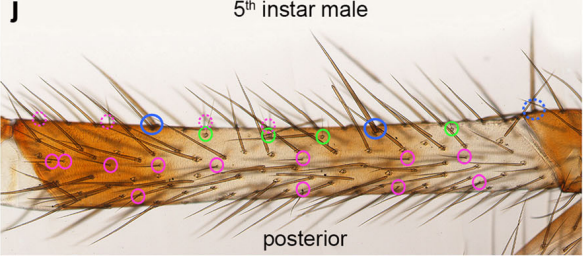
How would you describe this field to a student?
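This is a leg segment seen through its transparent cuticle, densely covered with long, slender bristles that arise from round sockets. Along the dorsal edge lie several small sockets bearing fine hairs, and many further socketed bristles are spread in rows over the segment surface.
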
